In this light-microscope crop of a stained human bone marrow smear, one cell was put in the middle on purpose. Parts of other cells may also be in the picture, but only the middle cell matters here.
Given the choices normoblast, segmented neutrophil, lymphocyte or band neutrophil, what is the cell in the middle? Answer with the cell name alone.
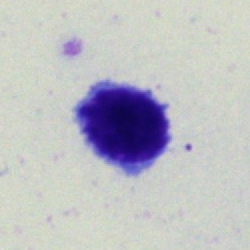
lymphocyte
